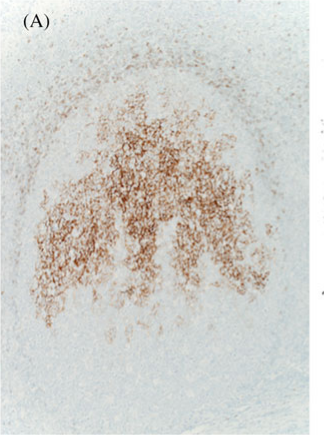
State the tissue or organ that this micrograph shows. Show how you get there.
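A rounded nodule of densely packed small cells. A paler rim of small cells surrounds the stained centre. The nodule sits within sheets of blue-counterstained lymphoid cells. The answer: lymphoid follicle.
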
